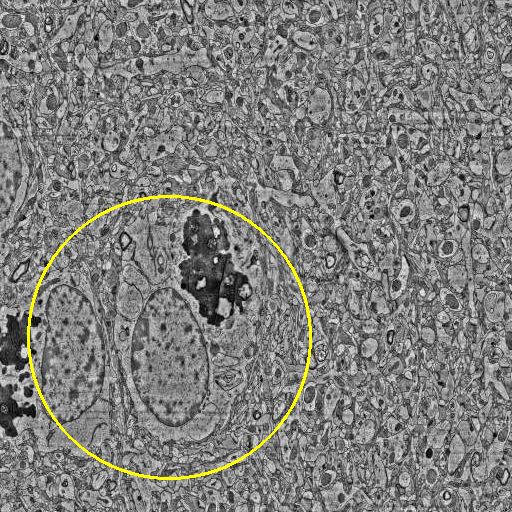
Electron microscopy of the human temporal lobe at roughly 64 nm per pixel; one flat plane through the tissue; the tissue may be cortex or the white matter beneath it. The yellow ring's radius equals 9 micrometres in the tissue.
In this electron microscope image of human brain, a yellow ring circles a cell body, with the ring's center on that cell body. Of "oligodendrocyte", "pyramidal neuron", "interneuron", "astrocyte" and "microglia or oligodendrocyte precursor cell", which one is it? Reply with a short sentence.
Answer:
It is an astrocyte at the center of the ring.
